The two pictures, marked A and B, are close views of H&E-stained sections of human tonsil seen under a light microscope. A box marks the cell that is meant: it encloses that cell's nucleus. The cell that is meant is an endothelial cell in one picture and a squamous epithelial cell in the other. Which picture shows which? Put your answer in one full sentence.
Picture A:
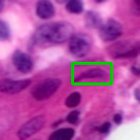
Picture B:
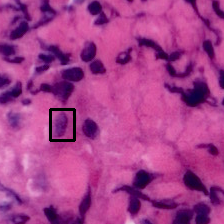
It is picture A that shows a squamous epithelial cell, and picture B that shows an endothelial cell.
